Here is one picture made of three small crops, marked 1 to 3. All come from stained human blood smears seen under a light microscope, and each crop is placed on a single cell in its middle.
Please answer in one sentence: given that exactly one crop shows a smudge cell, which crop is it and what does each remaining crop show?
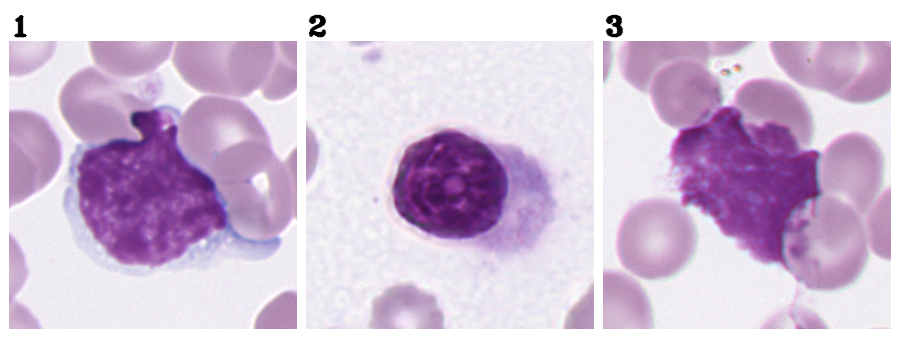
To sum up, crop 3 shows a smudge cell, while crop 1 is a typical lymphocyte and crop 2 is a plasma cell.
